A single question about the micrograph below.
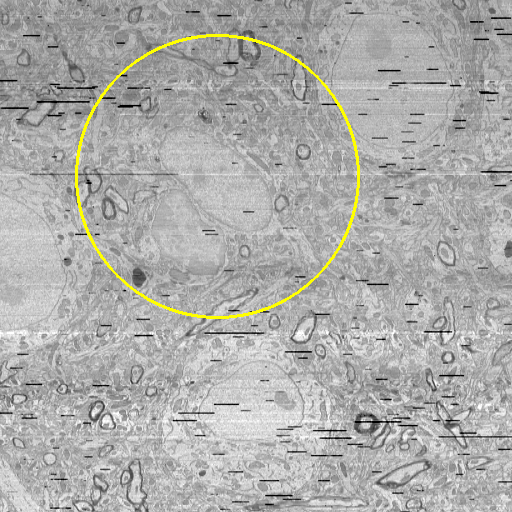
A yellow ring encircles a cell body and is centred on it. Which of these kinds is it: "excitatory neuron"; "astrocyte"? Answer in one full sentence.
The cell body at the centre of the yellow ring belongs to an astrocyte.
